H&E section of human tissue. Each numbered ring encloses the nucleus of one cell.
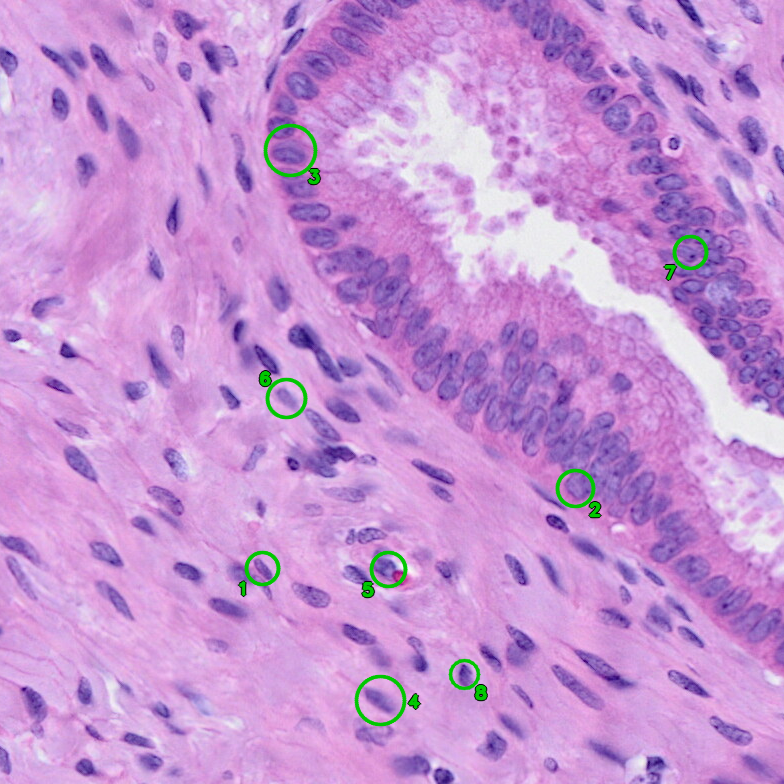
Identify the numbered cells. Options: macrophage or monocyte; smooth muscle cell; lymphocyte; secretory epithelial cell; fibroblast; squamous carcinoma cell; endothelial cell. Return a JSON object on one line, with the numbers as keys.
{"1": "fibroblast", "2": "secretory epithelial cell", "3": "secretory epithelial cell", "4": "fibroblast", "5": "endothelial cell", "6": "fibroblast", "7": "secretory epithelial cell", "8": "fibroblast"}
